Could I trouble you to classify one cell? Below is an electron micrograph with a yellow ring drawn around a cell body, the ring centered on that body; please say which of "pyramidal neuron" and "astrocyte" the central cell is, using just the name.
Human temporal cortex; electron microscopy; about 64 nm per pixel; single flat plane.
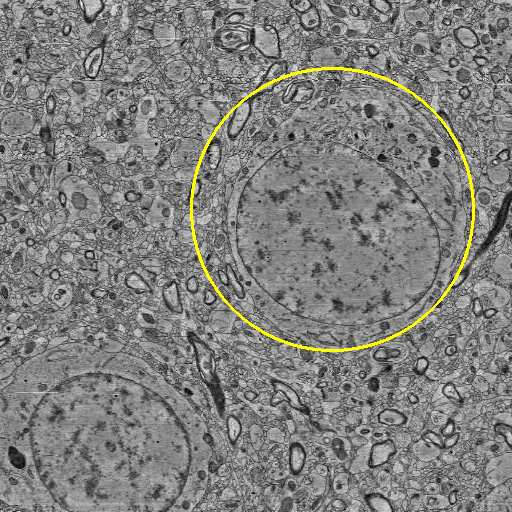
pyramidal neuron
